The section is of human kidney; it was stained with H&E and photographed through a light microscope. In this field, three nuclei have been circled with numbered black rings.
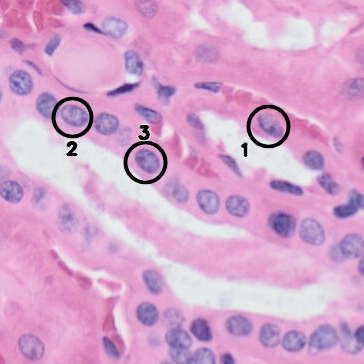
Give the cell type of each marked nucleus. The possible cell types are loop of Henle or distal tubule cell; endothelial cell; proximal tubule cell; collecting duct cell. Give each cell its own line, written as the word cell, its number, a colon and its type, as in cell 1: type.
cell 1: loop of Henle or distal tubule cell
cell 2: collecting duct cell
cell 3: collecting duct cell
